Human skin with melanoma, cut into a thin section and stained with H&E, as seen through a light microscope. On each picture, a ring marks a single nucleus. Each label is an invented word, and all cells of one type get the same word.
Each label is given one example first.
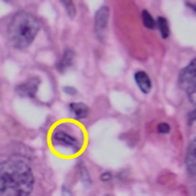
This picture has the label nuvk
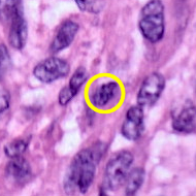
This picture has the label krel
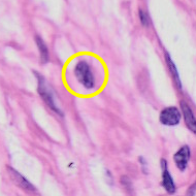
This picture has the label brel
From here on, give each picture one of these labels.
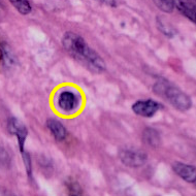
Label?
brel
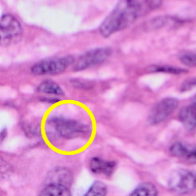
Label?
krel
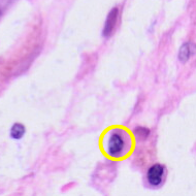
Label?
nuvk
